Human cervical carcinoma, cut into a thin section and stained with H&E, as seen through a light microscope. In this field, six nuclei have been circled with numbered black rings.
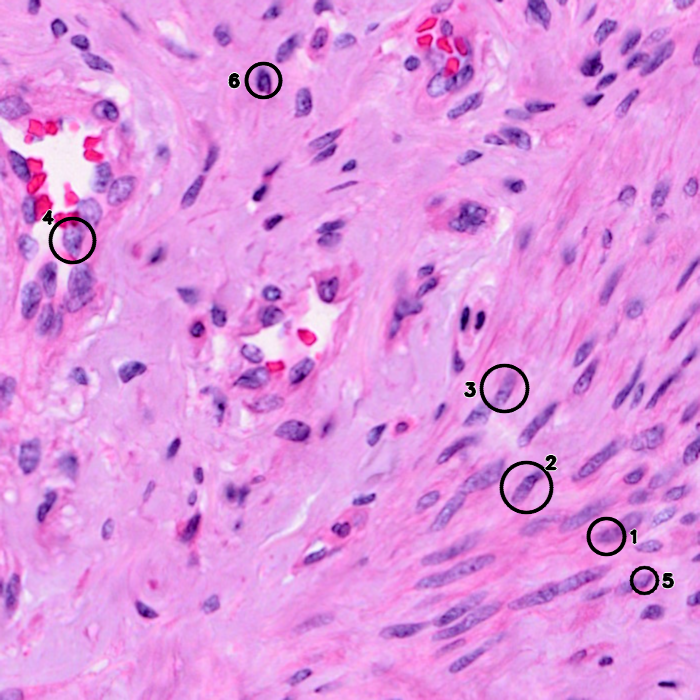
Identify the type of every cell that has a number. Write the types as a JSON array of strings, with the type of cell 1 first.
["smooth muscle cell", "smooth muscle cell", "smooth muscle cell", "endothelial cell", "smooth muscle cell", "fibroblast"]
